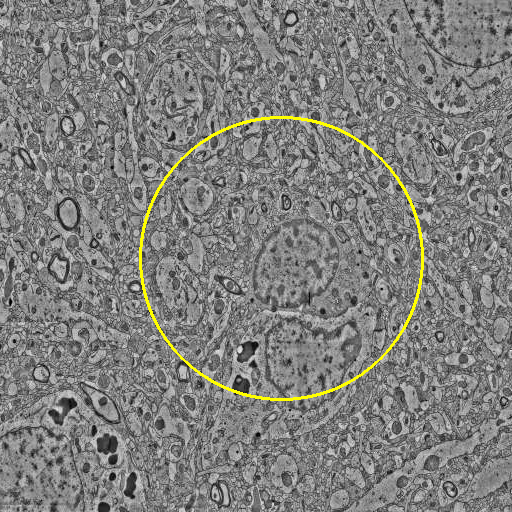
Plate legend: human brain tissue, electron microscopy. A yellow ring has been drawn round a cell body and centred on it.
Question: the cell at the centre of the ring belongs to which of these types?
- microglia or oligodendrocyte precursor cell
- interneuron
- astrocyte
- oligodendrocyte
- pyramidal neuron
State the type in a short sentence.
The cell in the middle of the ring is an oligodendrocyte.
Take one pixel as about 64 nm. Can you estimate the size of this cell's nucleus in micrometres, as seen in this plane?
In this plane, roughly 6 by 5 micrometres.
